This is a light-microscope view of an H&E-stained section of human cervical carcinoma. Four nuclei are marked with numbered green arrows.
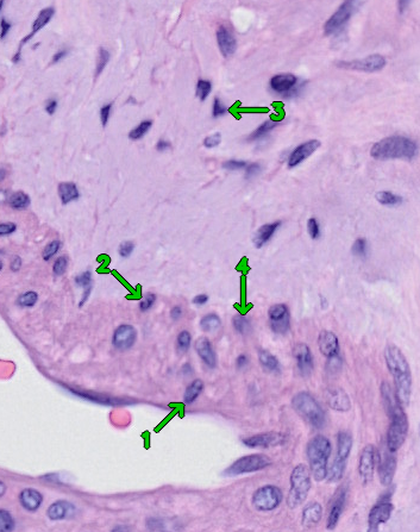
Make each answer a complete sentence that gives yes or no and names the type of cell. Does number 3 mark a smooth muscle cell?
No, it is not a smooth muscle cell that bears number 3 but a fibroblast.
